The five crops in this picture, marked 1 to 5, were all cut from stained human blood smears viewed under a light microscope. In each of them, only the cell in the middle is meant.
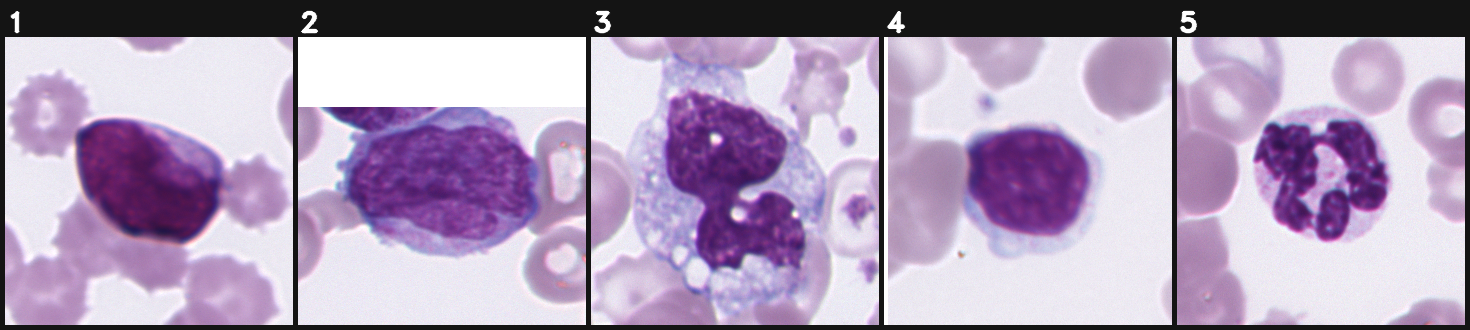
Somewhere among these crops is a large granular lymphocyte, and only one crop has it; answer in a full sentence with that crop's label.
The one showing a large granular lymphocyte is the crop labelled 4.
